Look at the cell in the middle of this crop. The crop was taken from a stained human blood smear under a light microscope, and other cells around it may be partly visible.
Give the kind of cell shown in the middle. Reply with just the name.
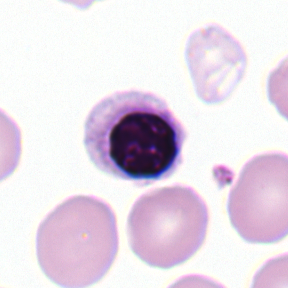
normoblast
